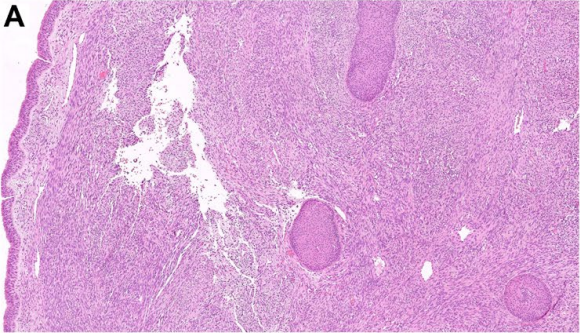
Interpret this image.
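Low-power view of mucosa with a thin surface epithelium along the left edge. A dense spindle cell proliferation lies beneath it. Several rounded nests of epithelium lie deep within the spindle cells and are surrounded by them. Cleft-like open spaces are present near the surface.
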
